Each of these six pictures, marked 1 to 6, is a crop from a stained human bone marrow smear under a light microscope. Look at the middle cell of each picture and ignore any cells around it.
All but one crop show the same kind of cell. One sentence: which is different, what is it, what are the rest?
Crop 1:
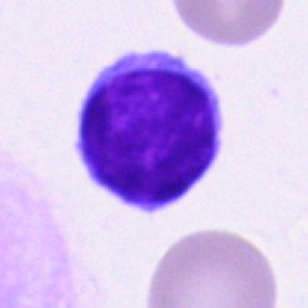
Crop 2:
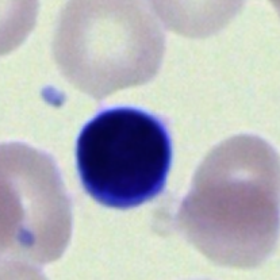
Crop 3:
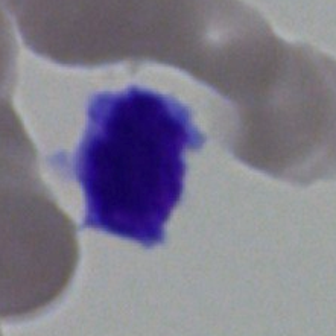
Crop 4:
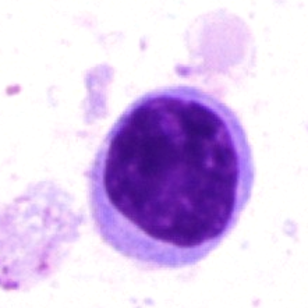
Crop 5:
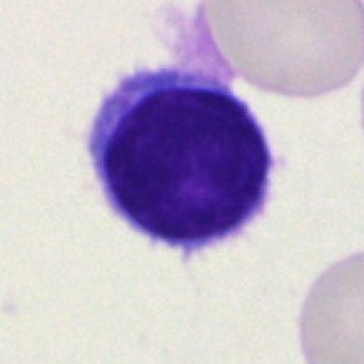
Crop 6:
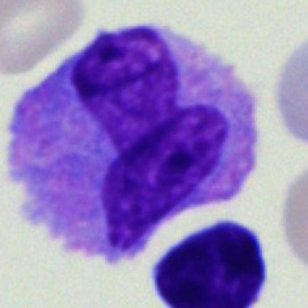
Crop 6 is the only one that is a monocyte; all the others show lymphocytes.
